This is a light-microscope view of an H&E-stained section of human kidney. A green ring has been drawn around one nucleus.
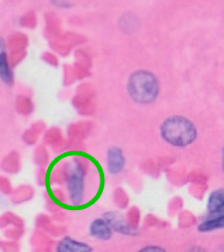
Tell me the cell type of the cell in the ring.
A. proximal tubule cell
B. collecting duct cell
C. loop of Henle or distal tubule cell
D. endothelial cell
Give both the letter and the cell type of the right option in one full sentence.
In this case the cell in the ring is an endothelial cell, so option D is correct.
